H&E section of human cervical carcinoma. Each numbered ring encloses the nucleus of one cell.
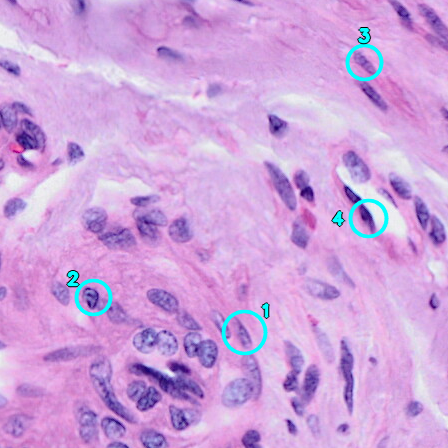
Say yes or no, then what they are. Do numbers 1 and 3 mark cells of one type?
Yes, note that cells 1 and 3 are both smooth muscle cells.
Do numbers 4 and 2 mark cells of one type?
No, in contrast to cell 4, which is an endothelial cell, cell 2 is a smooth muscle cell.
